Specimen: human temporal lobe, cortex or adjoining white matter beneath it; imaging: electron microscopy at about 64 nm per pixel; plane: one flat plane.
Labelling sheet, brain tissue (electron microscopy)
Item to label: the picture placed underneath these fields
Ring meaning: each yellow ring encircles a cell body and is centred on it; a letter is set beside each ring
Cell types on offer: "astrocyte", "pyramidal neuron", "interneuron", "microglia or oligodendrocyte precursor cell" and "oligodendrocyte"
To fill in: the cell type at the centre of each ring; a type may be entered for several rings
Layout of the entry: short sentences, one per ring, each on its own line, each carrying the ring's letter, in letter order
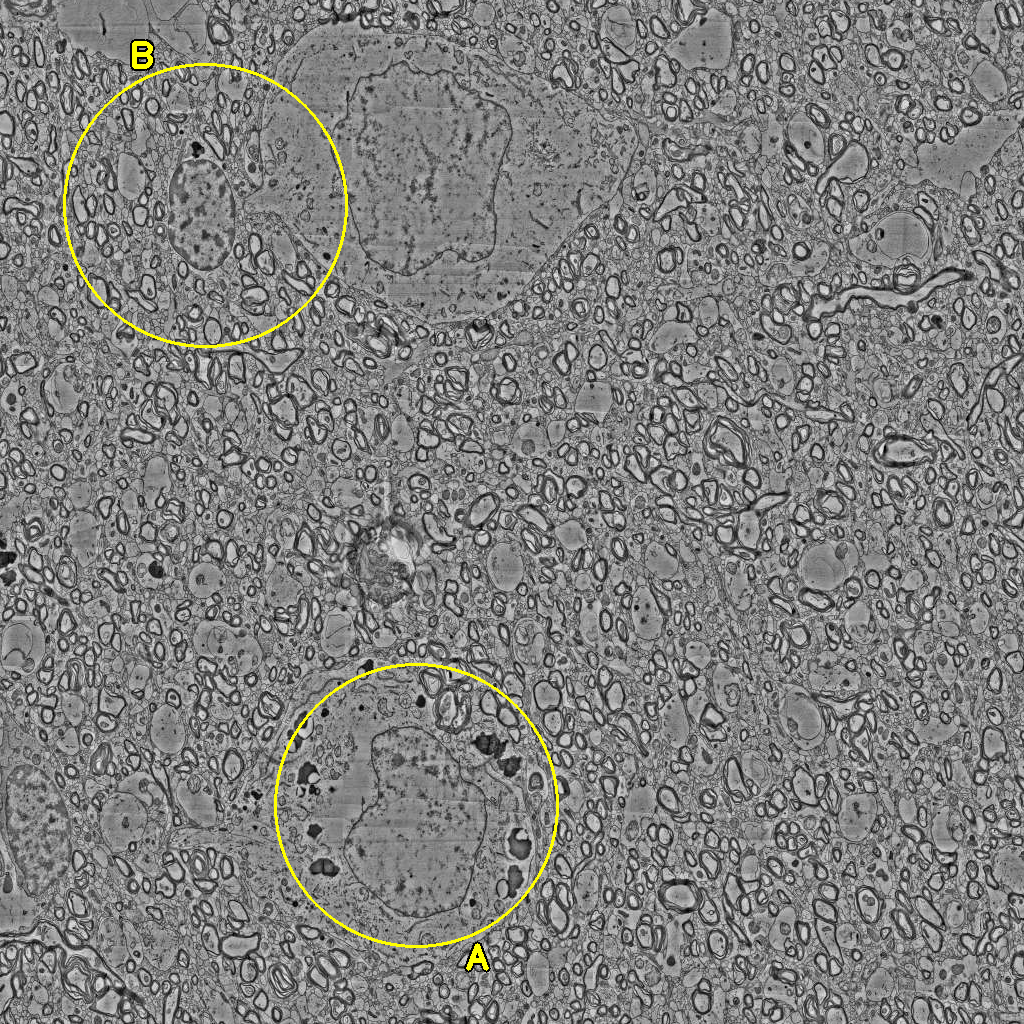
Ring A encircles the body of a pyramidal neuron.
Ring B encircles the body of a microglial cell or oligodendrocyte precursor cell.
